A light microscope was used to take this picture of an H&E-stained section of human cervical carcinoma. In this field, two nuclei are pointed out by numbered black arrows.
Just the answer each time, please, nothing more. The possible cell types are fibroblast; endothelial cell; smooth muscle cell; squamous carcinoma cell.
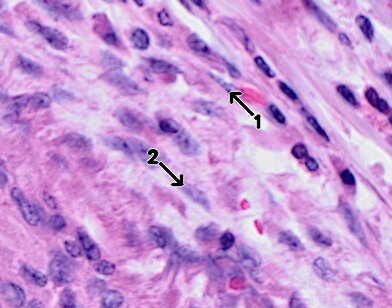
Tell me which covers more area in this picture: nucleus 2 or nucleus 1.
2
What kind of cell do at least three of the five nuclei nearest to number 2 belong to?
fibroblast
